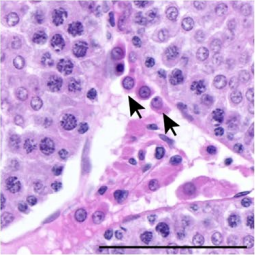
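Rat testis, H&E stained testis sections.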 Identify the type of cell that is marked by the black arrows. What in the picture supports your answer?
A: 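The arrowed cells lie in the interstitium between tubules. They have round nuclei and pink cytoplasm. So: interstitial Leydig cells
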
